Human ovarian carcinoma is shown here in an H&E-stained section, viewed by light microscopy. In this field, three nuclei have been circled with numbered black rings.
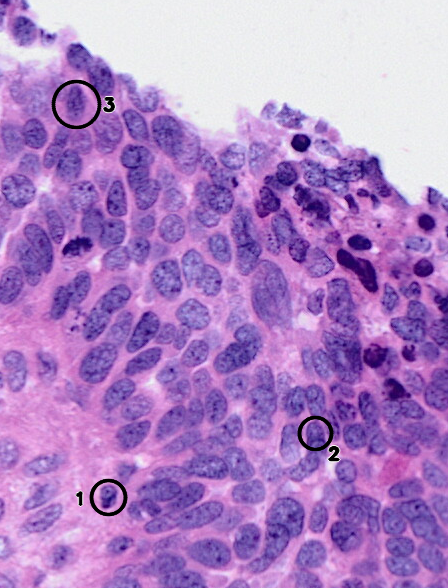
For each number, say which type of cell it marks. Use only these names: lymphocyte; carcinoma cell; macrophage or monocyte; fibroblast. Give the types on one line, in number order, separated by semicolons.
lymphocyte; carcinoma cell; carcinoma cell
